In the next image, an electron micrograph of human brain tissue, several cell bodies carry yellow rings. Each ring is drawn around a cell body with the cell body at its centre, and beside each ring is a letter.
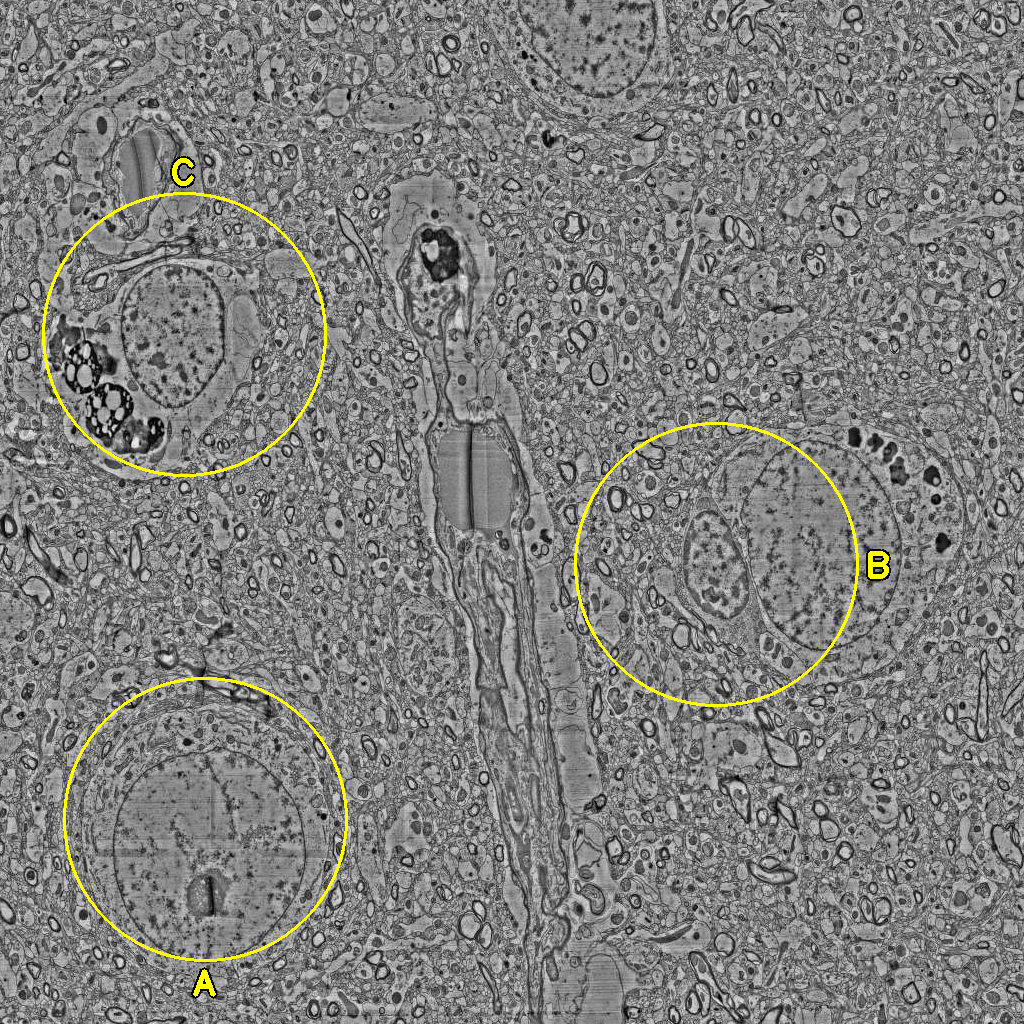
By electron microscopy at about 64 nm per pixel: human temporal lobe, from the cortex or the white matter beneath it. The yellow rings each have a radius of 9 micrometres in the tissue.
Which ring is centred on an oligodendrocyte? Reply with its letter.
B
